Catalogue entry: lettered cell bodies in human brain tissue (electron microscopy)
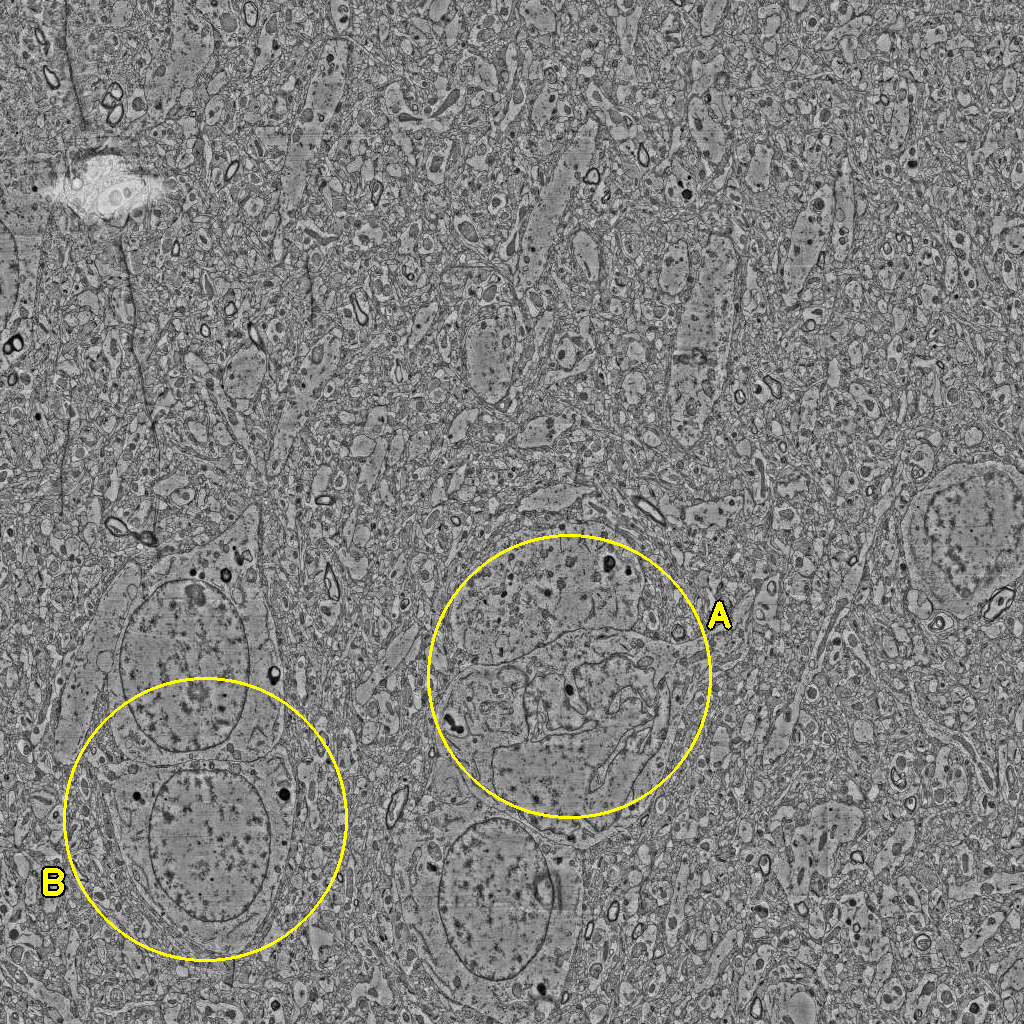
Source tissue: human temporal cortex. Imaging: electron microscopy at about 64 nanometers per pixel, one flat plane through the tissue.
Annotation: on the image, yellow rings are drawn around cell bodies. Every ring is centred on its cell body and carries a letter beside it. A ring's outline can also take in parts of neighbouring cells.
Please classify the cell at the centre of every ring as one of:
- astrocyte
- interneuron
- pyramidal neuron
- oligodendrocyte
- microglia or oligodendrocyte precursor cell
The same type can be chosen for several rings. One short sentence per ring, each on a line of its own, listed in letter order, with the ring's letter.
Ring A is classified as an interneuron.
Ring B is classified as a pyramidal neuron.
